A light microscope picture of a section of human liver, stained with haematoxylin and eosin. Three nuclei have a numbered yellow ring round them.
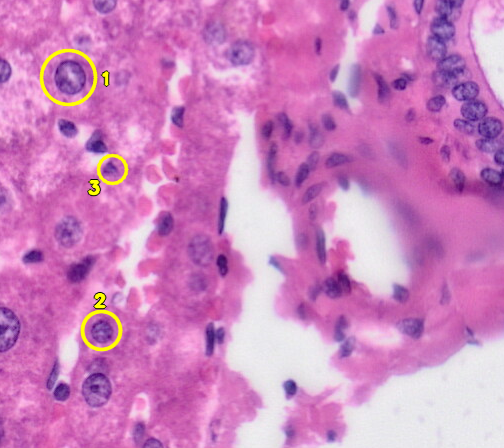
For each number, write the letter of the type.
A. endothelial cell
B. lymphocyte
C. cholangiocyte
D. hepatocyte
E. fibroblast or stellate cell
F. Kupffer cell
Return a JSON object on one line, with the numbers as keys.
{"1": "D", "2": "D", "3": "E"}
